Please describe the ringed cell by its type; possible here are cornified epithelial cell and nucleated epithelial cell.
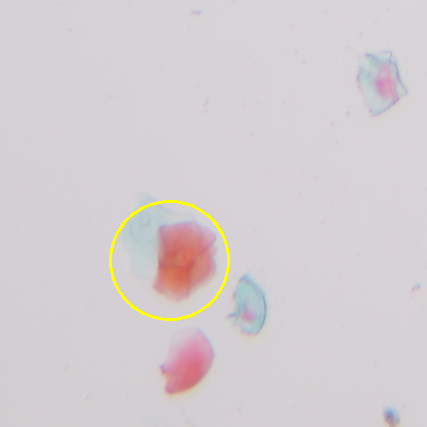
The yellow ring marks a cornified epithelial cell.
